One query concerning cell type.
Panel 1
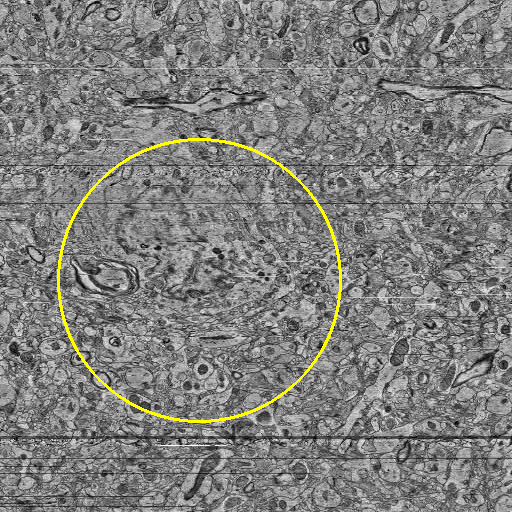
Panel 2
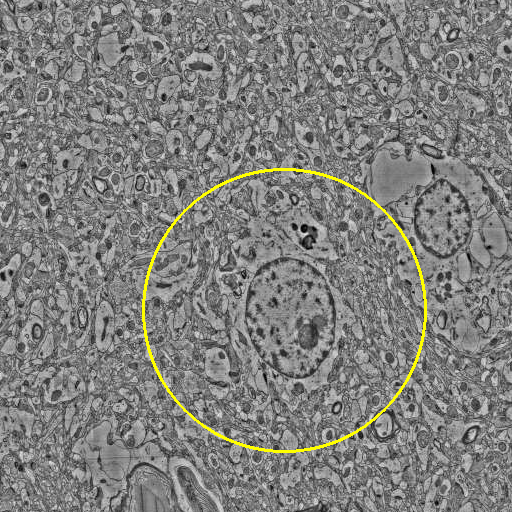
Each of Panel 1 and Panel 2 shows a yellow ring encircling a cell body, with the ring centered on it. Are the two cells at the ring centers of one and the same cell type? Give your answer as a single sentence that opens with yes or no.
No, the cell centered in Panel 1 and the one in Panel 2 are of two types.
